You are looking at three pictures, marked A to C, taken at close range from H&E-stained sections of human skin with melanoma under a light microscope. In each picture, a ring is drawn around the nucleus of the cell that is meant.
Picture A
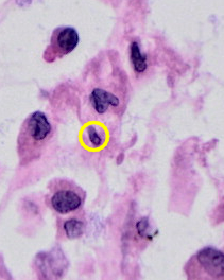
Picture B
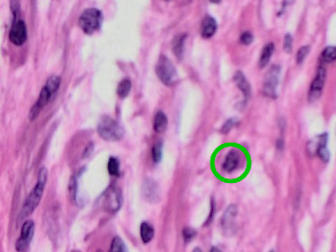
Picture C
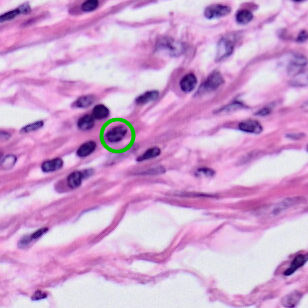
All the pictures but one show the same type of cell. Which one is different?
A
